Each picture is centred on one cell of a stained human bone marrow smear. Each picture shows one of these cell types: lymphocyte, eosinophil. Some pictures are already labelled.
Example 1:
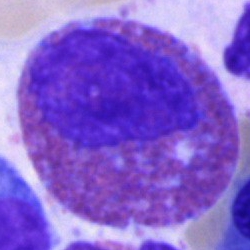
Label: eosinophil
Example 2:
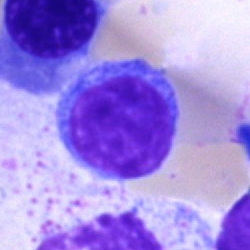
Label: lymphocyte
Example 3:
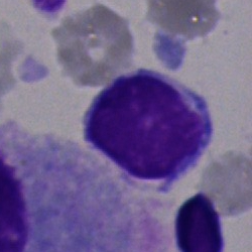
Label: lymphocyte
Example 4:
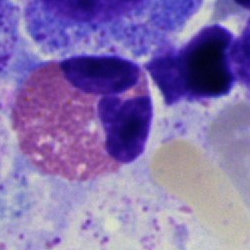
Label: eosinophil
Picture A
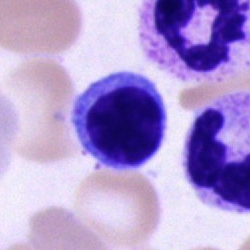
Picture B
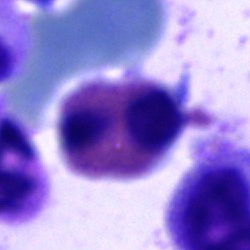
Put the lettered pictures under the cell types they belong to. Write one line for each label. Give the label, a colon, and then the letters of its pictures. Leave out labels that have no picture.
lymphocyte: A
eosinophil: B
